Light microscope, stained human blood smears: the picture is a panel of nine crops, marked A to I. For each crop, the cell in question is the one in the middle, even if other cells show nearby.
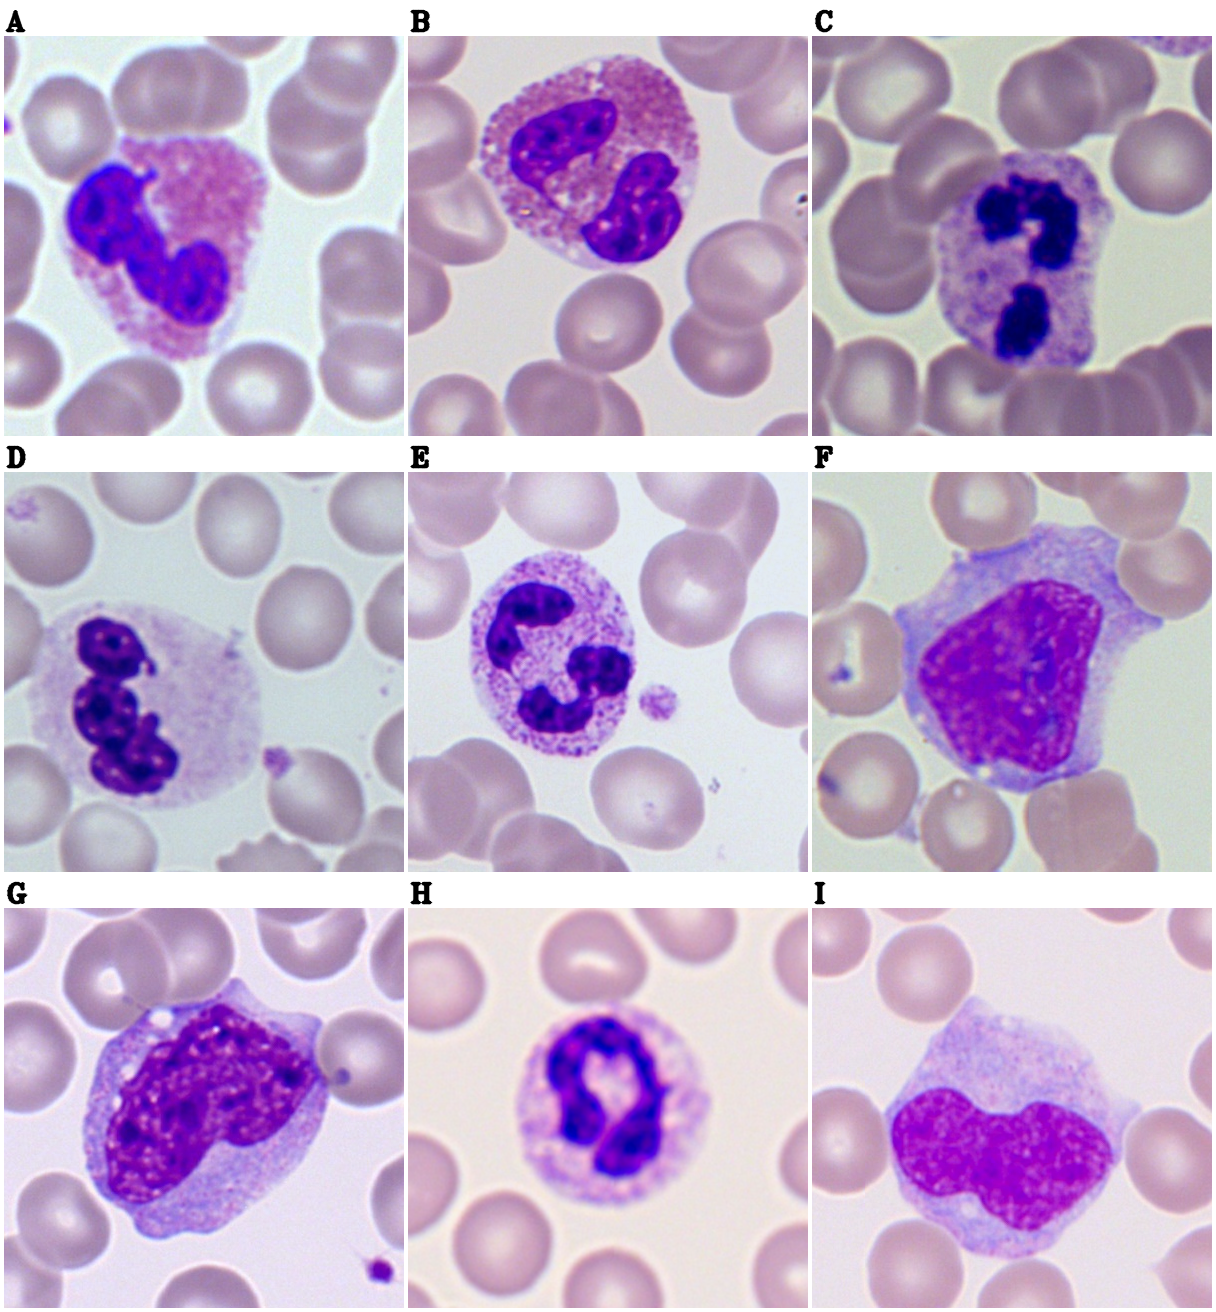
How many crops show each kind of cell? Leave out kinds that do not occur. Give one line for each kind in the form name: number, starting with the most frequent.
segmented neutrophil: 4
monocyte: 3
eosinophil: 2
